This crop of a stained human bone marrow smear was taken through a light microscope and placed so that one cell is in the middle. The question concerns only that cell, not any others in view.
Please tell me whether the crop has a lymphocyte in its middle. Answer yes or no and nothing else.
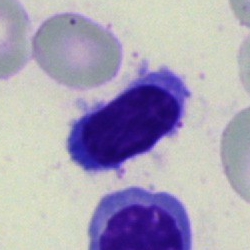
yes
